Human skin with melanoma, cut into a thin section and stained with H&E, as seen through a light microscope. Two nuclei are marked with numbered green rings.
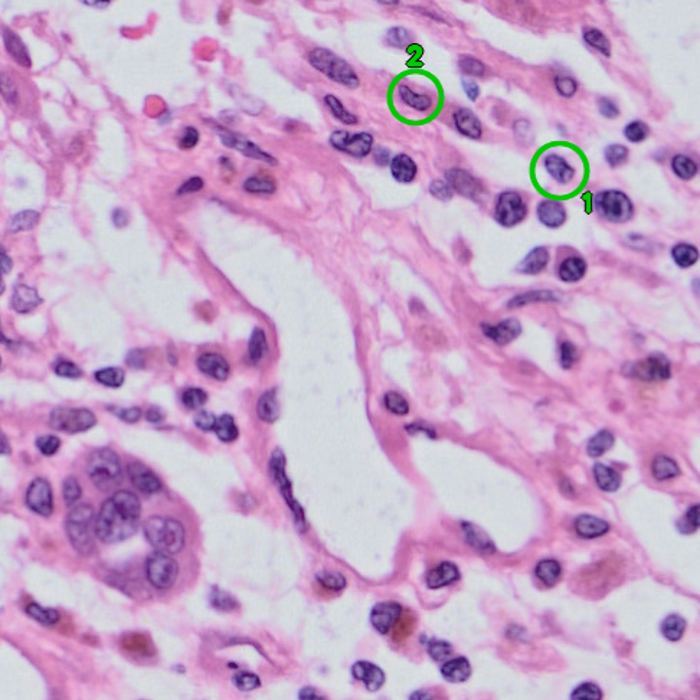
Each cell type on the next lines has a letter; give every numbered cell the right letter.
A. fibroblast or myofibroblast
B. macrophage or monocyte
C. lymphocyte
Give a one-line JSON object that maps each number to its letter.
{"1": "C", "2": "B"}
